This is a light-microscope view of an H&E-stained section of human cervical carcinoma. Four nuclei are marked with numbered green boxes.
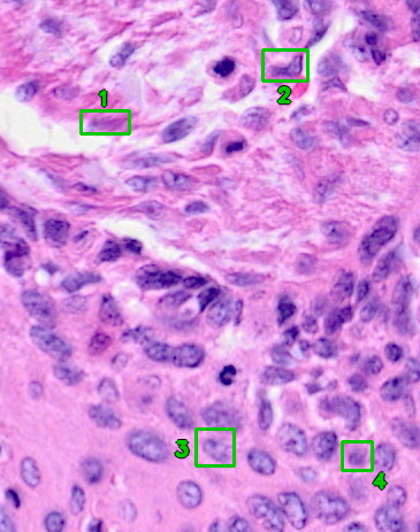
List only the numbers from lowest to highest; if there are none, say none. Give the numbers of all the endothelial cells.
2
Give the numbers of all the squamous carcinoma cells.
3, 4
